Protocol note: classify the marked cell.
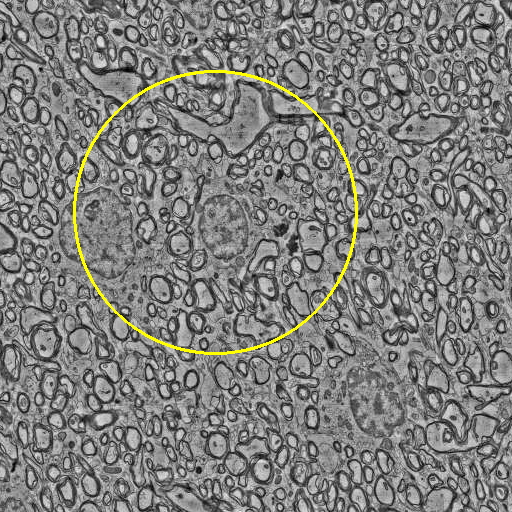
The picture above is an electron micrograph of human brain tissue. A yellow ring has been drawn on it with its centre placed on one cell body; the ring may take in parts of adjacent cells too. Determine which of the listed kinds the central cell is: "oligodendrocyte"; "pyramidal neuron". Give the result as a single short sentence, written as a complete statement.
The central cell is an oligodendrocyte.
